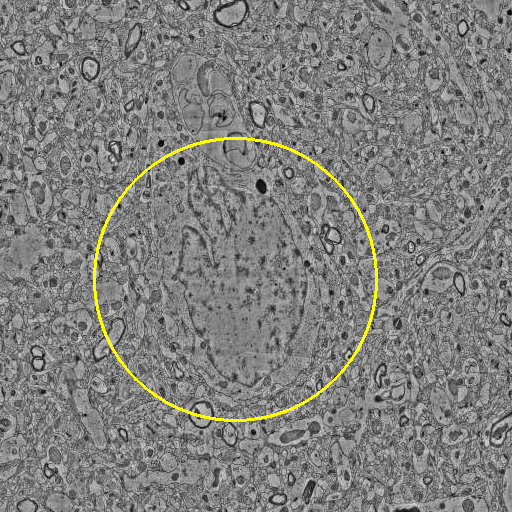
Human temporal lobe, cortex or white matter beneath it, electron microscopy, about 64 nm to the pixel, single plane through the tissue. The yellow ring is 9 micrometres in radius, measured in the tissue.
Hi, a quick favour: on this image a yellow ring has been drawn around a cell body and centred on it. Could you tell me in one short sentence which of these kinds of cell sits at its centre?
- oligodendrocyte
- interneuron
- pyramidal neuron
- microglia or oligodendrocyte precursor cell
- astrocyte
The ring is centred on an interneuron.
